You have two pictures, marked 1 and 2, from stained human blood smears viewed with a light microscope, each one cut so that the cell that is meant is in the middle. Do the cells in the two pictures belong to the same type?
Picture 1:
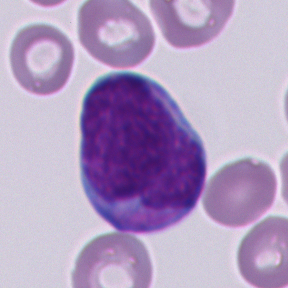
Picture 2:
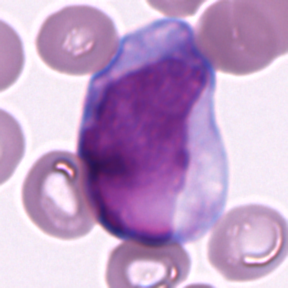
yes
